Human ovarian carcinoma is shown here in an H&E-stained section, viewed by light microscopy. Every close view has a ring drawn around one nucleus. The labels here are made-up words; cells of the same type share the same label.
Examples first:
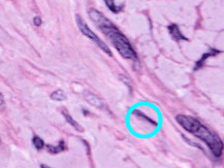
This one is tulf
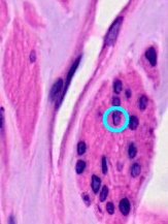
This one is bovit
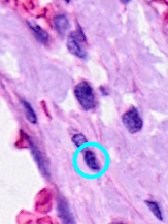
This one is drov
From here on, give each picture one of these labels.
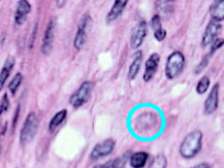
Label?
tulf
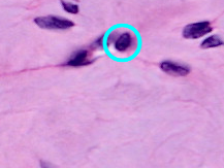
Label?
drov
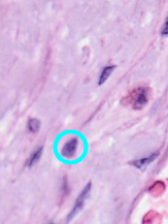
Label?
drov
